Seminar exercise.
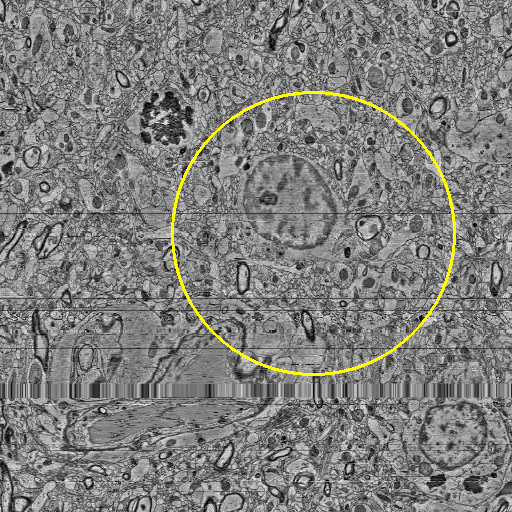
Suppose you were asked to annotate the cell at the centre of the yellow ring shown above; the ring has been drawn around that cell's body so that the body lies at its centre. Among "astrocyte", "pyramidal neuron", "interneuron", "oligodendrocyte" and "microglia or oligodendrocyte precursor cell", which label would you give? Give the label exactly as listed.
oligodendrocyte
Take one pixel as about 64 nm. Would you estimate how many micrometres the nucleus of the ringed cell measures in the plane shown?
The nucleus appears roughly 7 by 5 micrometres in this plane.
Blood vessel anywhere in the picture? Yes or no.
Yes.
